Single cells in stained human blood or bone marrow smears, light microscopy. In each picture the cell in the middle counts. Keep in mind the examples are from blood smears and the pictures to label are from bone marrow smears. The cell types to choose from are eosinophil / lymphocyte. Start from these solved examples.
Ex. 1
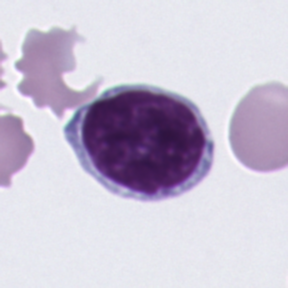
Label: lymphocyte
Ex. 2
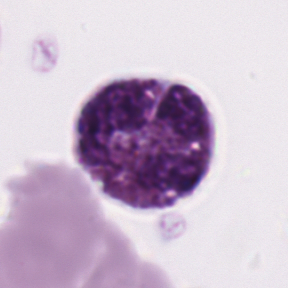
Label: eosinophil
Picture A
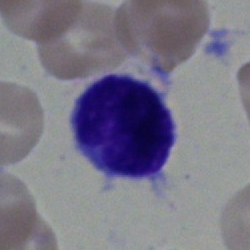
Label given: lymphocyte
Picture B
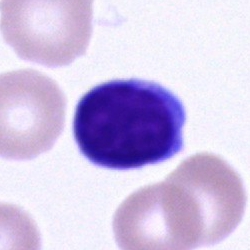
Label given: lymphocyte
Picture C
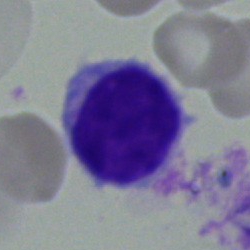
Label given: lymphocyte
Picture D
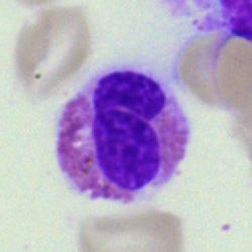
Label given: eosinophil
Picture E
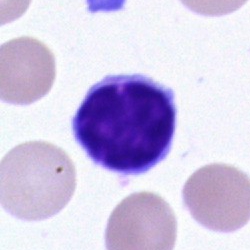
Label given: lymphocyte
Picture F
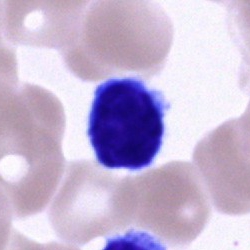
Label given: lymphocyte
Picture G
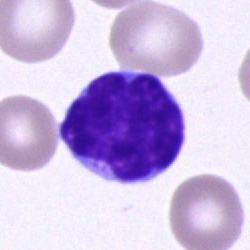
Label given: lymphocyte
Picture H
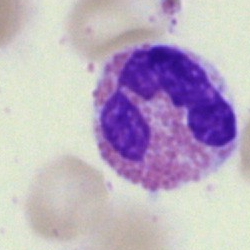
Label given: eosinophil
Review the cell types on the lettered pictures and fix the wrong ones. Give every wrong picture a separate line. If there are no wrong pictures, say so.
Nothing to fix; every label fits.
